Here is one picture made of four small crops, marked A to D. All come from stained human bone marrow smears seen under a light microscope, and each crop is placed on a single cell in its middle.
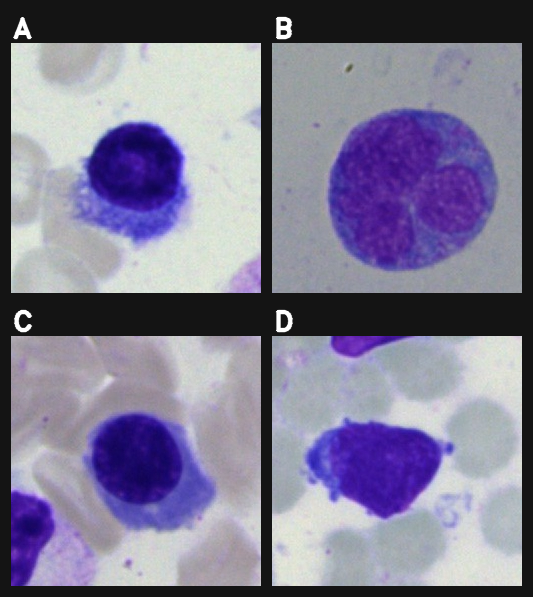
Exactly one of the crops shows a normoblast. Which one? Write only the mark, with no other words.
C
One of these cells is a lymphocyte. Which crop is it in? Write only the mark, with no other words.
A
